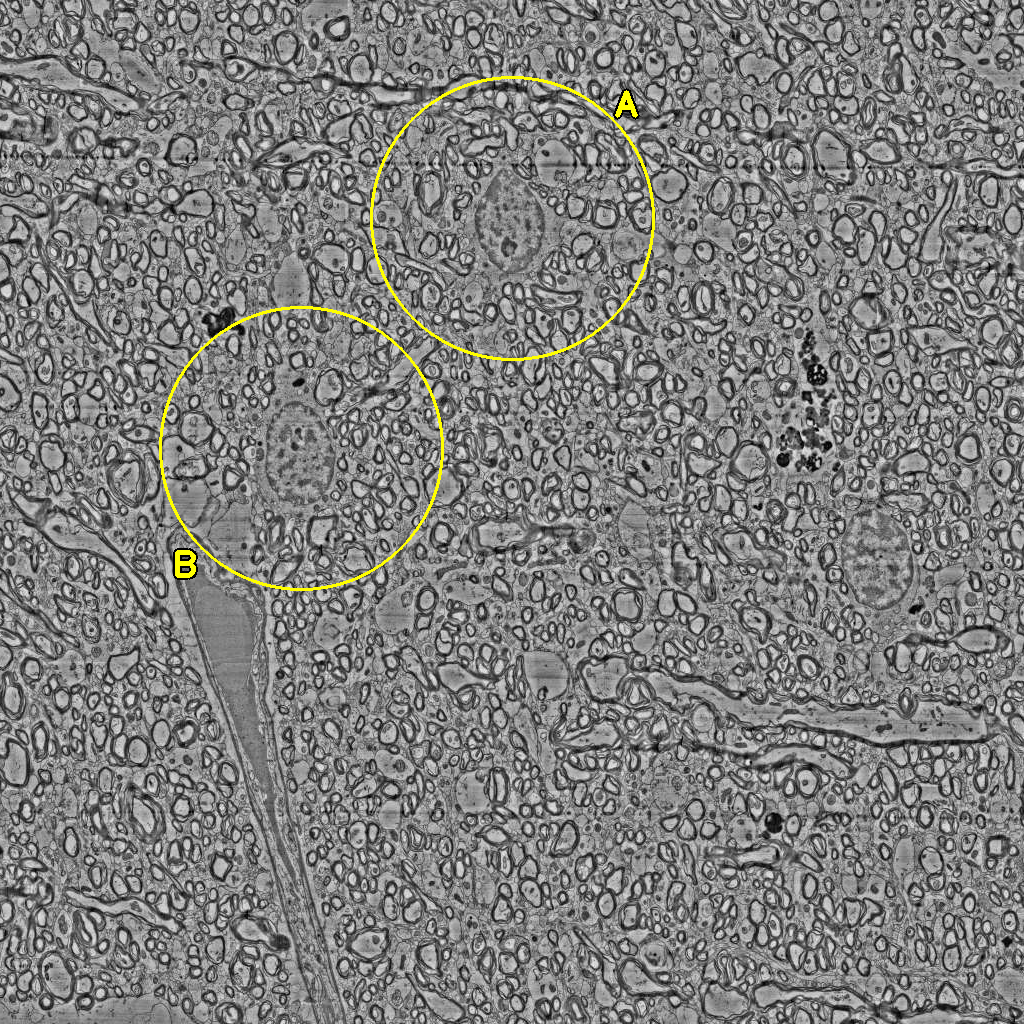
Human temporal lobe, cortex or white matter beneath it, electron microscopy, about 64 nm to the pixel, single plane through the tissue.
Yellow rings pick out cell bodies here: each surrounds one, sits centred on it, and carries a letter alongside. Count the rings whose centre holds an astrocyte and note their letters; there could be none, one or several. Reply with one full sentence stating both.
Across the lettered rings, not one is centred on an astrocyte, so zero is the count.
